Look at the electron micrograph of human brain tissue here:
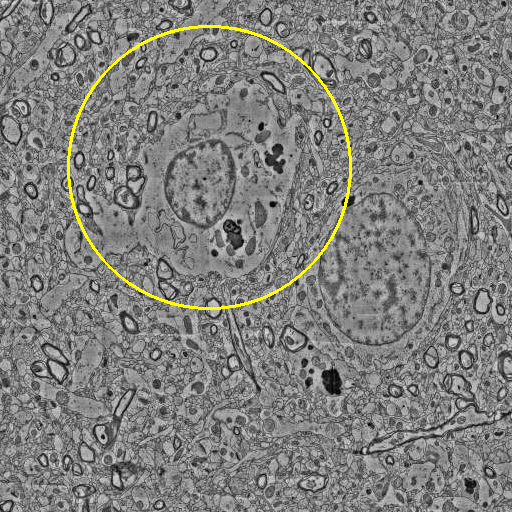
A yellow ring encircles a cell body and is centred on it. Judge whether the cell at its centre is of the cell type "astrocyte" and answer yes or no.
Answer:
yes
